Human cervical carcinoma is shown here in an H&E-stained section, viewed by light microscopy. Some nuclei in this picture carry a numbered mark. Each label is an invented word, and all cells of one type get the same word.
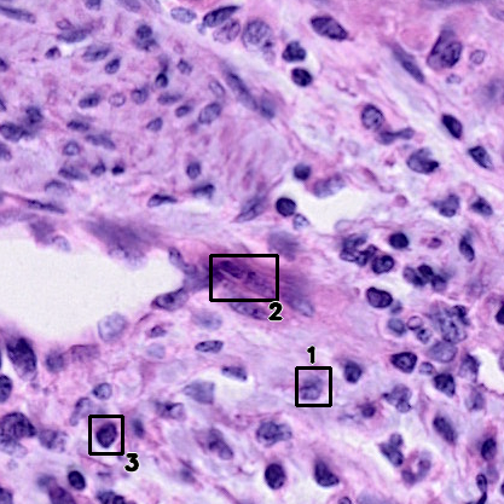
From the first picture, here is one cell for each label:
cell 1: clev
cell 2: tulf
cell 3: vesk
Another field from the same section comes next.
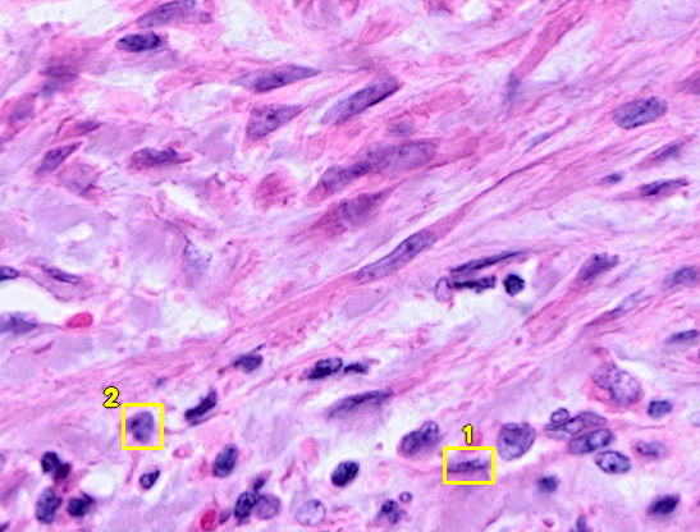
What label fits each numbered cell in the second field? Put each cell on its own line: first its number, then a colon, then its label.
1: tulf
2: clev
